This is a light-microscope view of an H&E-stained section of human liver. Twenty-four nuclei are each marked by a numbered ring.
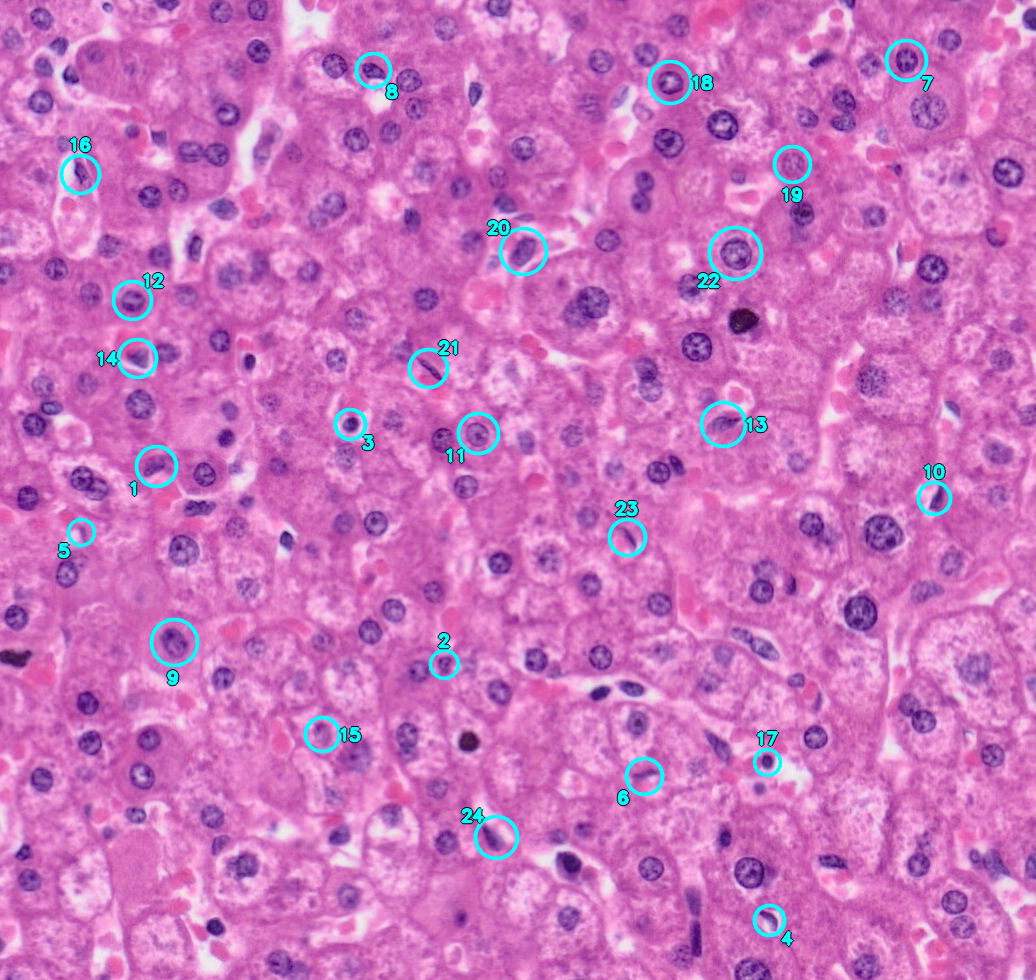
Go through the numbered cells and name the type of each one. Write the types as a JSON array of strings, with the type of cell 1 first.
["endothelial cell", "fibroblast or stellate cell", "lymphocyte", "endothelial cell", "endothelial cell", "endothelial cell", "hepatocyte", "fibroblast or stellate cell", "hepatocyte", "endothelial cell", "hepatocyte", "hepatocyte", "endothelial cell", "endothelial cell", "hepatocyte", "Kupffer cell", "lymphocyte", "hepatocyte", "hepatocyte", "Kupffer cell", "endothelial cell", "hepatocyte", "endothelial cell", "endothelial cell"]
